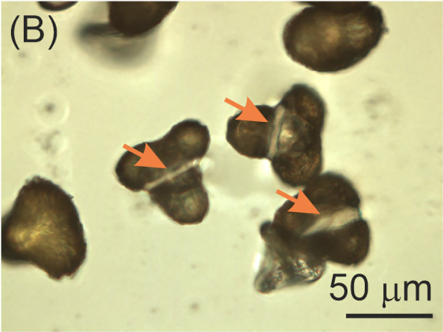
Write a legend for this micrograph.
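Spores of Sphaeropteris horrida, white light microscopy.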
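Several separate, rounded-triangular, brown, thick-walled bodies lie scattered on a pale background, each a few tens of micrometres across. Their surfaces look rough and faintly striated, and no nucleus or other inner structure can be made out through the dark wall. In three of them a pale, translucent band crosses the body, marked by orange arrows.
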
